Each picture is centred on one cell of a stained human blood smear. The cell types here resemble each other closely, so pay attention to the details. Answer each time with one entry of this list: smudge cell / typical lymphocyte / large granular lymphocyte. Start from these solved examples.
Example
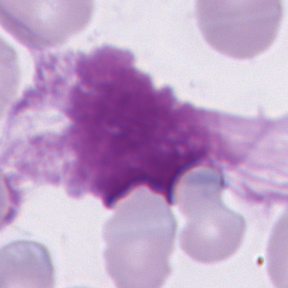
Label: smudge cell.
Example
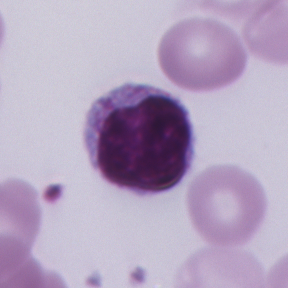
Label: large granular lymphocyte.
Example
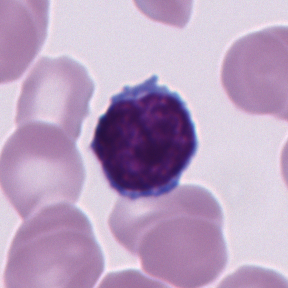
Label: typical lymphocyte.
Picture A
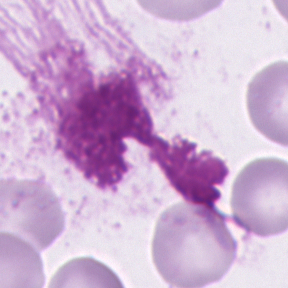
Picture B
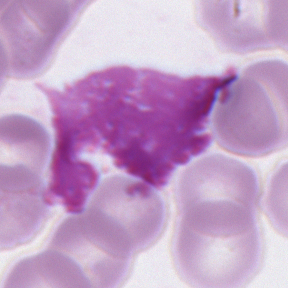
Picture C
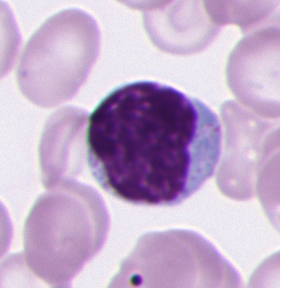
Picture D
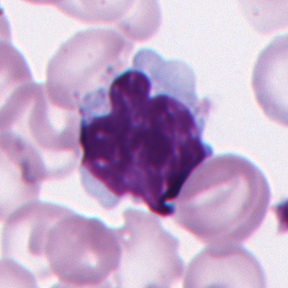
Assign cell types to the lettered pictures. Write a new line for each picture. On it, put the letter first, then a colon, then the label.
A: smudge cell.
B: smudge cell.
C: typical lymphocyte.
D: typical lymphocyte.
